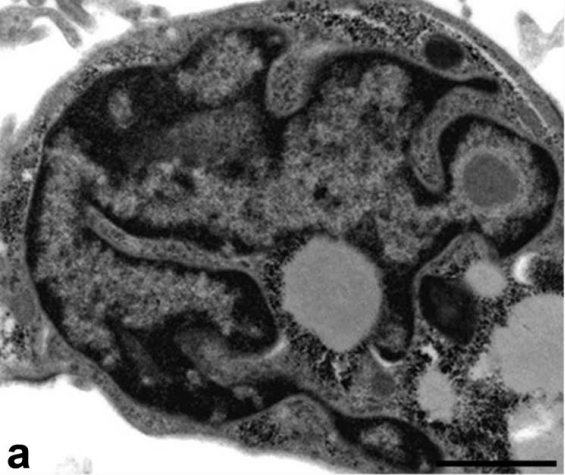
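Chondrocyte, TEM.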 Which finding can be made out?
Chromatin condensation.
